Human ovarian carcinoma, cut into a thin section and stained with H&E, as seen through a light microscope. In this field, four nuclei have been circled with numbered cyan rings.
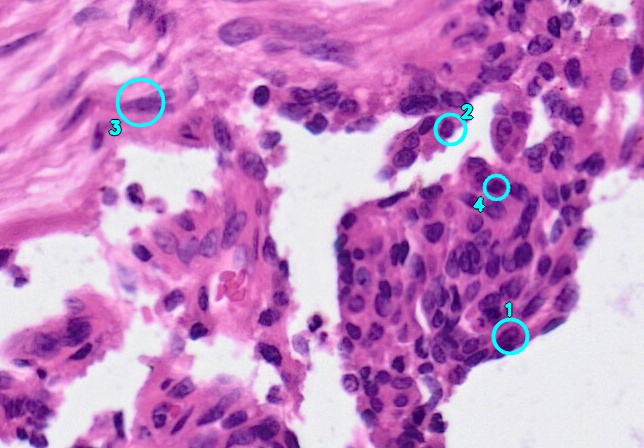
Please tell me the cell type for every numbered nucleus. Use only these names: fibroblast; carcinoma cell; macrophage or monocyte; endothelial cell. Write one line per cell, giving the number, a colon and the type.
1: carcinoma cell
2: carcinoma cell
3: fibroblast
4: carcinoma cell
